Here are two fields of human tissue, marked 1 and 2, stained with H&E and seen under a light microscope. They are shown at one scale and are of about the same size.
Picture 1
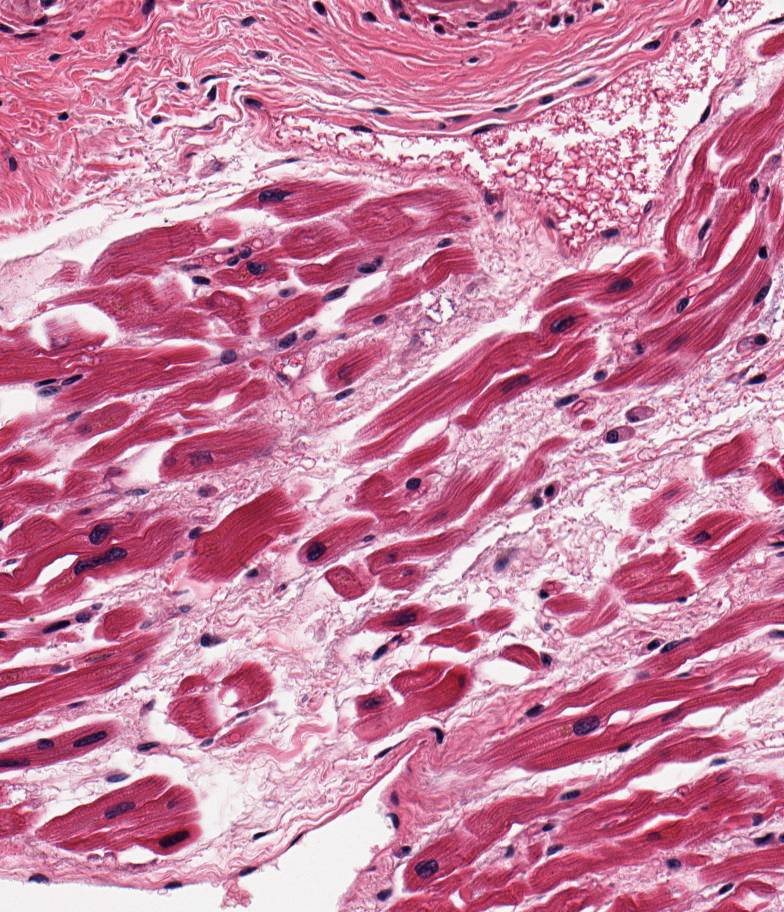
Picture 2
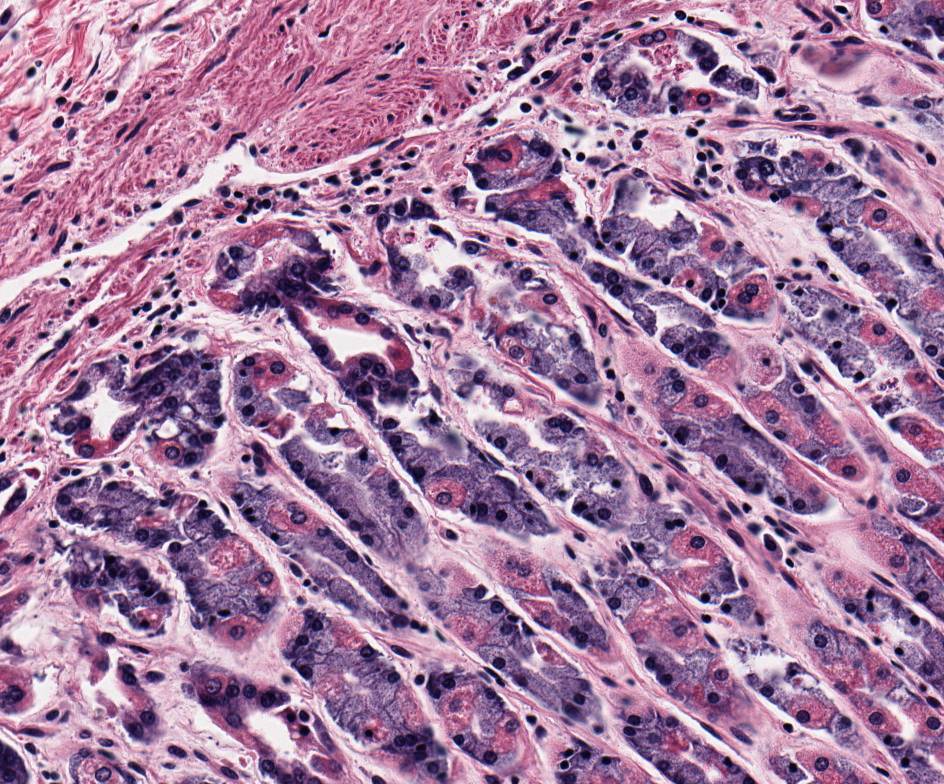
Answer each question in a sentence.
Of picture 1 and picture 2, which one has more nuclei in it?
It is picture 2 that has more nuclei in it.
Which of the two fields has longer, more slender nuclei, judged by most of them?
The nuclei are more elongated in picture 1.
